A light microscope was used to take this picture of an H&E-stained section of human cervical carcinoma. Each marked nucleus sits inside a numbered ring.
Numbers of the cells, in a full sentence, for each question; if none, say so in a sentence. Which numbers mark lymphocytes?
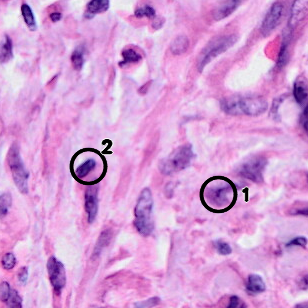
Cell 2 stands alone among the numbered cells as a lymphocyte.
